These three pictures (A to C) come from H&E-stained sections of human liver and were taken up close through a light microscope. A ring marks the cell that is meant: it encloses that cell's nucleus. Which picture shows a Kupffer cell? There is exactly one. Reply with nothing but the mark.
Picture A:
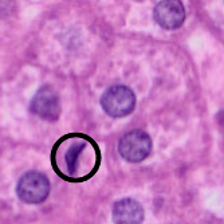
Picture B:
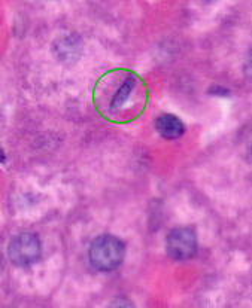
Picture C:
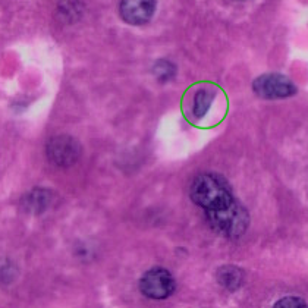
C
